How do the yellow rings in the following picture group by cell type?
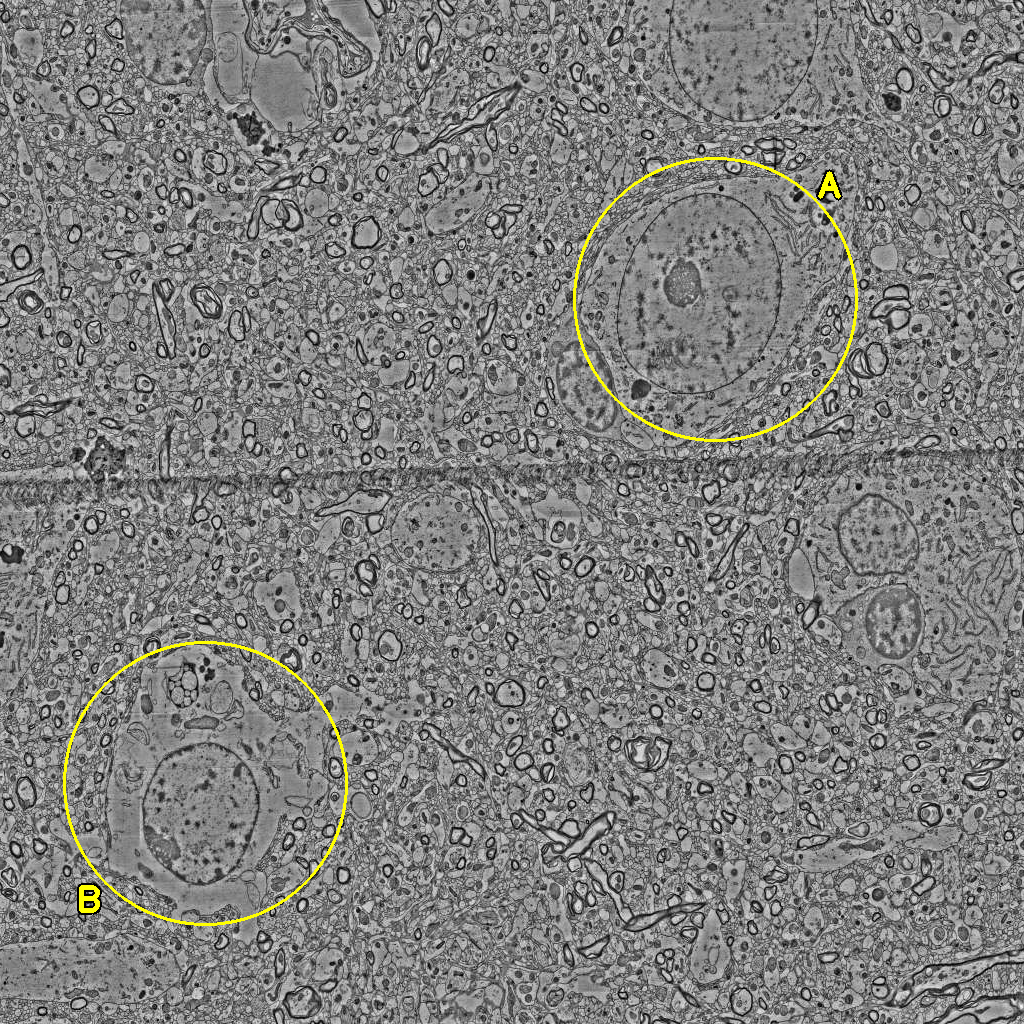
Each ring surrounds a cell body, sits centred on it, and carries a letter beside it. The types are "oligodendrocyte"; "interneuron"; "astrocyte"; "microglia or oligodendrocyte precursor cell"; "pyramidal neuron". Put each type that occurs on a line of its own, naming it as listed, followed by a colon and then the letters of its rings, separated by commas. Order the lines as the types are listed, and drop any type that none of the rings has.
astrocyte: B
pyramidal neuron: A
